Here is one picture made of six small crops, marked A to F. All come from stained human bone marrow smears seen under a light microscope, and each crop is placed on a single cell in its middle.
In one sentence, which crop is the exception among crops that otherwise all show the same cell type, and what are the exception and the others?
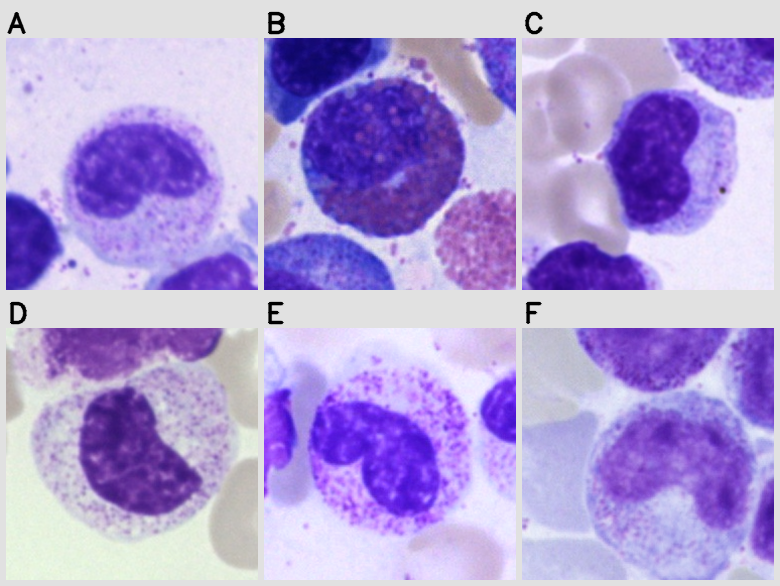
Crop B stands apart from the rest as an eosinophil, the others all being metamyelocytes.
